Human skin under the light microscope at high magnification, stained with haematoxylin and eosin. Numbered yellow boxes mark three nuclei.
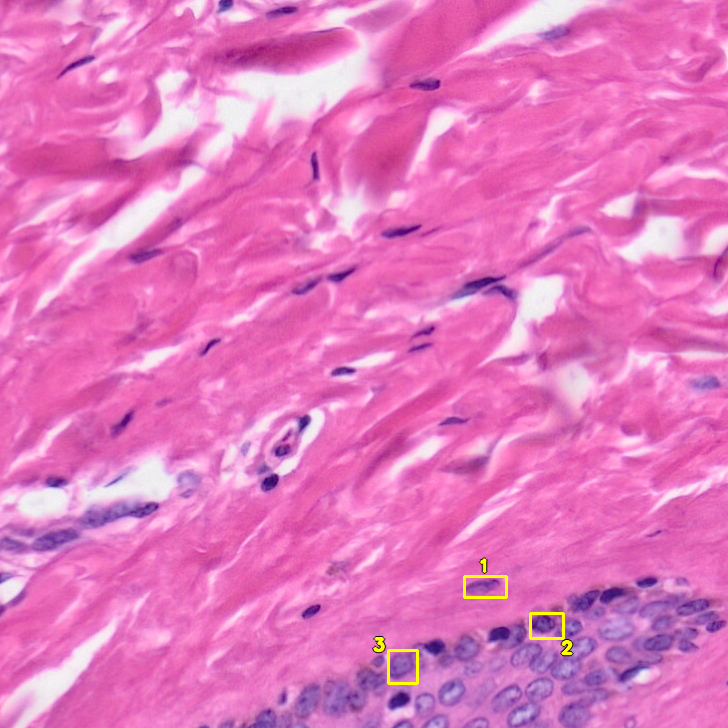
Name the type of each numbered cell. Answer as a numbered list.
1. fibroblast
2. basal keratinocyte
3. basal keratinocyte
